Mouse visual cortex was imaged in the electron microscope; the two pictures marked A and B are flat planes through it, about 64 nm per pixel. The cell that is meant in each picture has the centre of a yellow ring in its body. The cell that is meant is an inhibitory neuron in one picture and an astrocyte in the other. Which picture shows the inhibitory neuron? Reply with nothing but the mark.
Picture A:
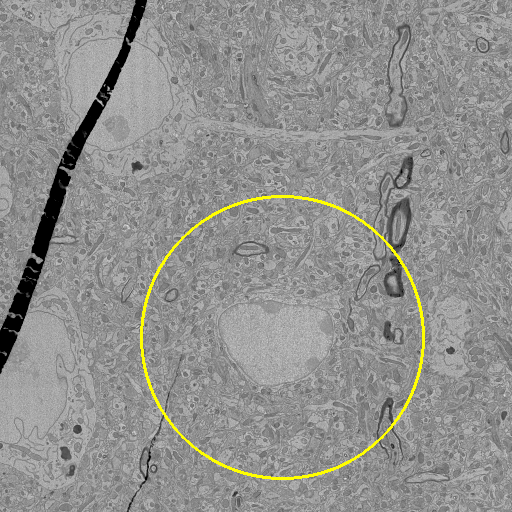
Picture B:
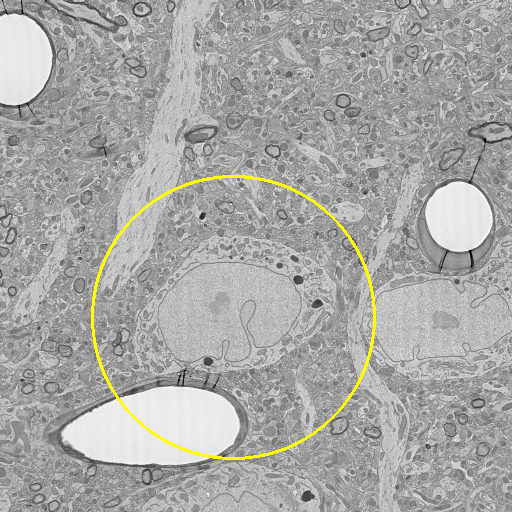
B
